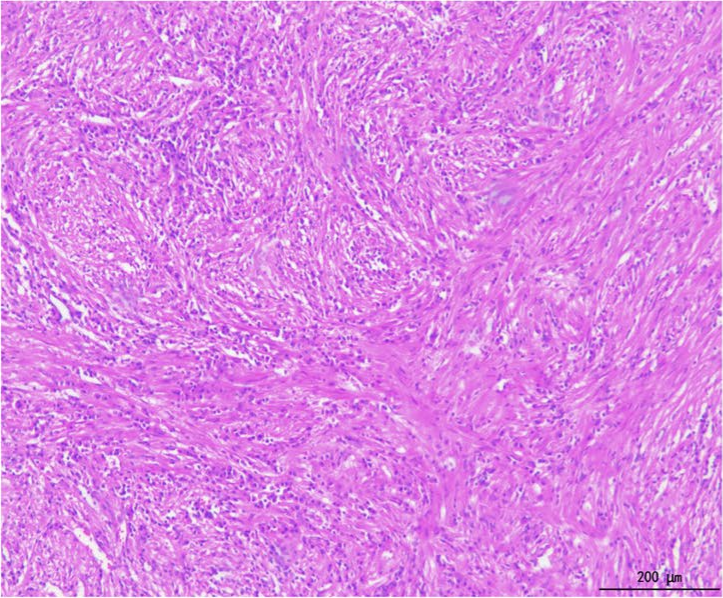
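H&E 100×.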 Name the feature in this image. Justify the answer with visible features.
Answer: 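Fascicles. Elongated cells run together in bundles that sweep in different directions. Bundles cross and curve around one another across the field.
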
